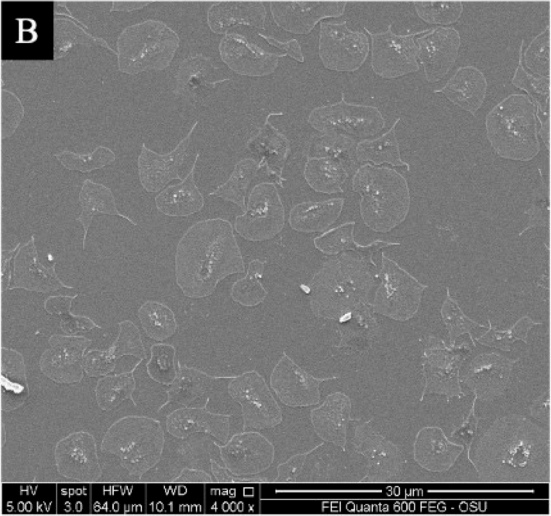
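Scanning electron micrograph of a dense field of adherent platelets spread flat on a smooth surface, many lying close together or touching. Most are fully spread, rounded to polygonal thin sheets with a raised granular centre and a smooth broad rim, while some keep short pointed projections at their edges.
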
